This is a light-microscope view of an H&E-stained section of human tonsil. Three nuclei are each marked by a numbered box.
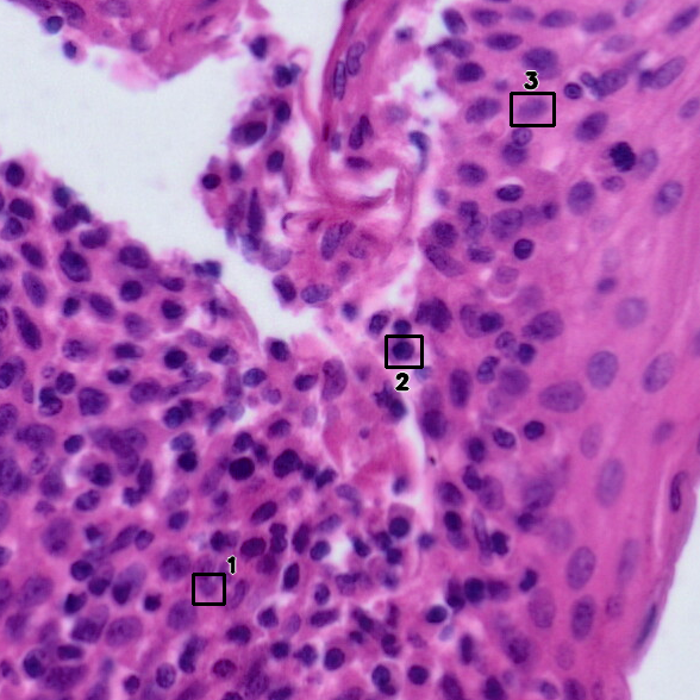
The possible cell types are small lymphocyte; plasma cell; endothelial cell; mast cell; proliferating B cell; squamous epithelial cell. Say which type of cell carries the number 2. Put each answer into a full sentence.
It is as a plasma cell that the cell numbered 2 is identified.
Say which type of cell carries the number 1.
The one labeled 1 is a squamous epithelial cell, to put it simply.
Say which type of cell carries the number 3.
The marked cell bearing number 3 is a squamous epithelial cell.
